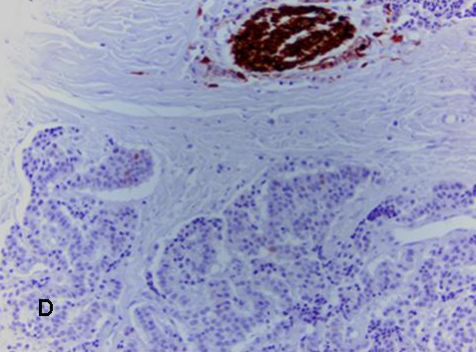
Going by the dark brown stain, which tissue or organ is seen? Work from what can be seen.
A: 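A nerve. A single small, oval, well-circumscribed bundle at the top is stained dark brown. The bundle lies within pale fibrous stroma, apart from the tumor nests.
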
